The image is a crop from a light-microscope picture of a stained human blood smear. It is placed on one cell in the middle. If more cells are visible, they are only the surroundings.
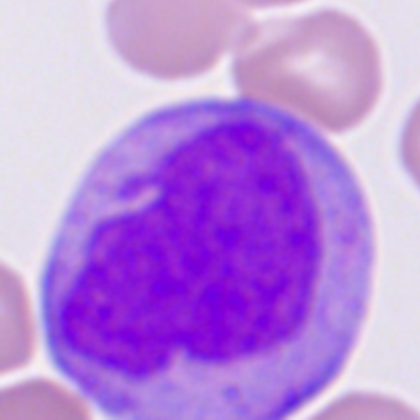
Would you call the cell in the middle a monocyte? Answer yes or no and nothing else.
yes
